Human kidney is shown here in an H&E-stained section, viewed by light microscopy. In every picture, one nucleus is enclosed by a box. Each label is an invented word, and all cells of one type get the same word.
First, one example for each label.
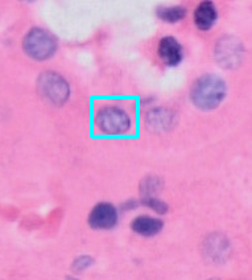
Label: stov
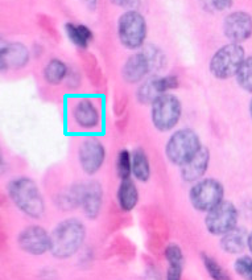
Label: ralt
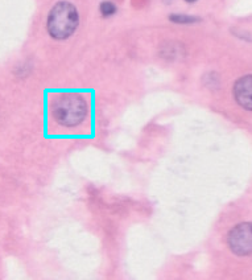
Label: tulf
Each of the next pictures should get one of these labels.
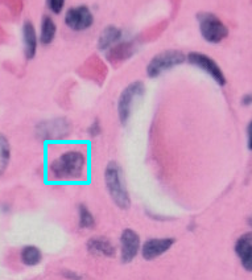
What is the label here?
stov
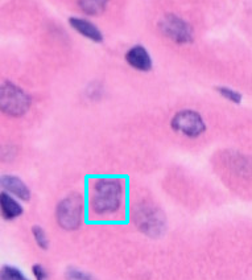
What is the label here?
tulf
